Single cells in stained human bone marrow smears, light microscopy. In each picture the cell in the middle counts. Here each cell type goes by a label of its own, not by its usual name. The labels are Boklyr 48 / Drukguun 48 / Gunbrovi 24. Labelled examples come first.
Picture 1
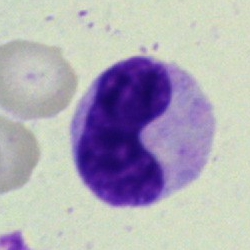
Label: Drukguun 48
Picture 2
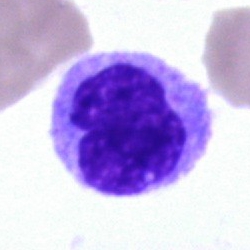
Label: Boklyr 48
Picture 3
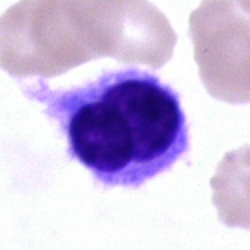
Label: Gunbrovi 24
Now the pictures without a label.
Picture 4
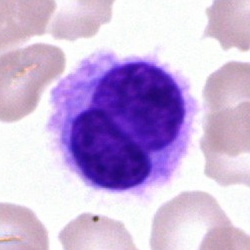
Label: Gunbrovi 24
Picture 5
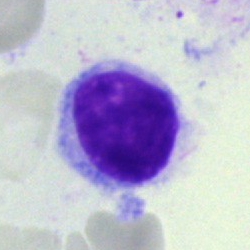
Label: Gunbrovi 24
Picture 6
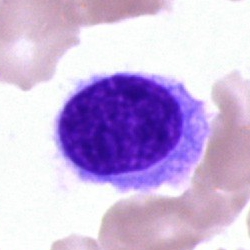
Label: Gunbrovi 24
